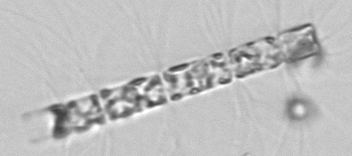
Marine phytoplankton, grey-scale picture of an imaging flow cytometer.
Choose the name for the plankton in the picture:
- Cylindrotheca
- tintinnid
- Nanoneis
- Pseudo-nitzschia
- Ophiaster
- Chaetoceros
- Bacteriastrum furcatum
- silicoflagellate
Bacteriastrum furcatum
